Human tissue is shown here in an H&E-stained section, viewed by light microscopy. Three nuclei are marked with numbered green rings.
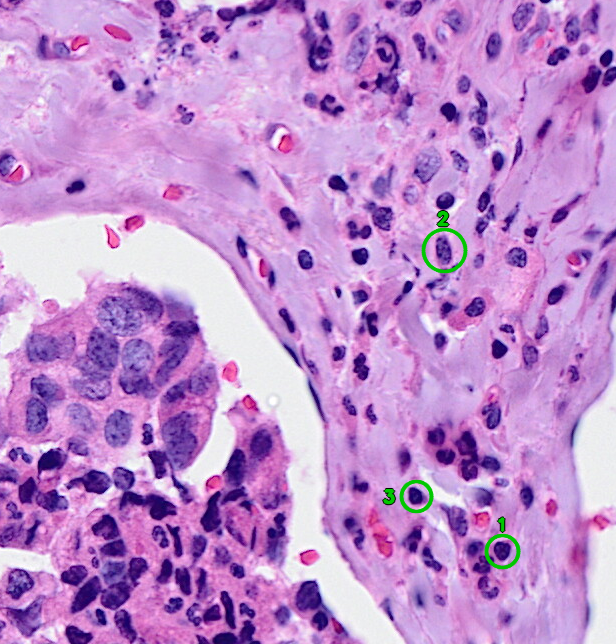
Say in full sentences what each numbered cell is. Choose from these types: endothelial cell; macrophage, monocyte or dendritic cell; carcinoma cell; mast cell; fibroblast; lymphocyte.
Cell 1 is a lymphocyte, cell 2 is a mast cell and cell 3 is a lymphocyte.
